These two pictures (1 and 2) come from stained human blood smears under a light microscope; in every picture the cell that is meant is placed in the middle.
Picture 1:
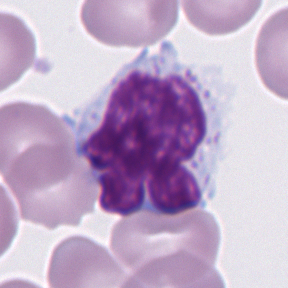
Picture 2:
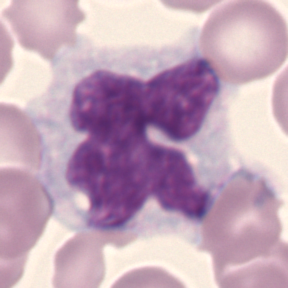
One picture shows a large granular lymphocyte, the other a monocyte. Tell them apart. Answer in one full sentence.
It is picture 1 that shows a large granular lymphocyte, and picture 2 that shows a monocyte.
